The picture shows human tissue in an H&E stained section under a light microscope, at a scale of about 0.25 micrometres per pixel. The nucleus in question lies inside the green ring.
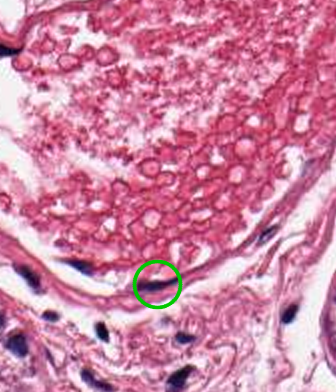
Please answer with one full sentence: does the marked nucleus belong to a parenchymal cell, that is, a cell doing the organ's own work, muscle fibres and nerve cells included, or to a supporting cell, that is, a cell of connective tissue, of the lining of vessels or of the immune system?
The marked nucleus, in this section, is the nucleus of a supporting cell.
